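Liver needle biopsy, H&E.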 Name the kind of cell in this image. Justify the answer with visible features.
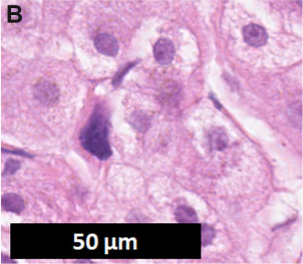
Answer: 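Megakaryocytes. A single cell with a large, dark, irregularly shaped nucleus sits between hepatocytes. Its nucleus is much darker and more irregular than the round hepatocyte nuclei around it.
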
